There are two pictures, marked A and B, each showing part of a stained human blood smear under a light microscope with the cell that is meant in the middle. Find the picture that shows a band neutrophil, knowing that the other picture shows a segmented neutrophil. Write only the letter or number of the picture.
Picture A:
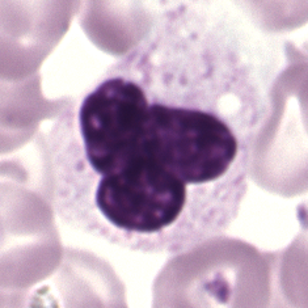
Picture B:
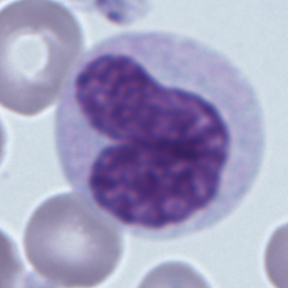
B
